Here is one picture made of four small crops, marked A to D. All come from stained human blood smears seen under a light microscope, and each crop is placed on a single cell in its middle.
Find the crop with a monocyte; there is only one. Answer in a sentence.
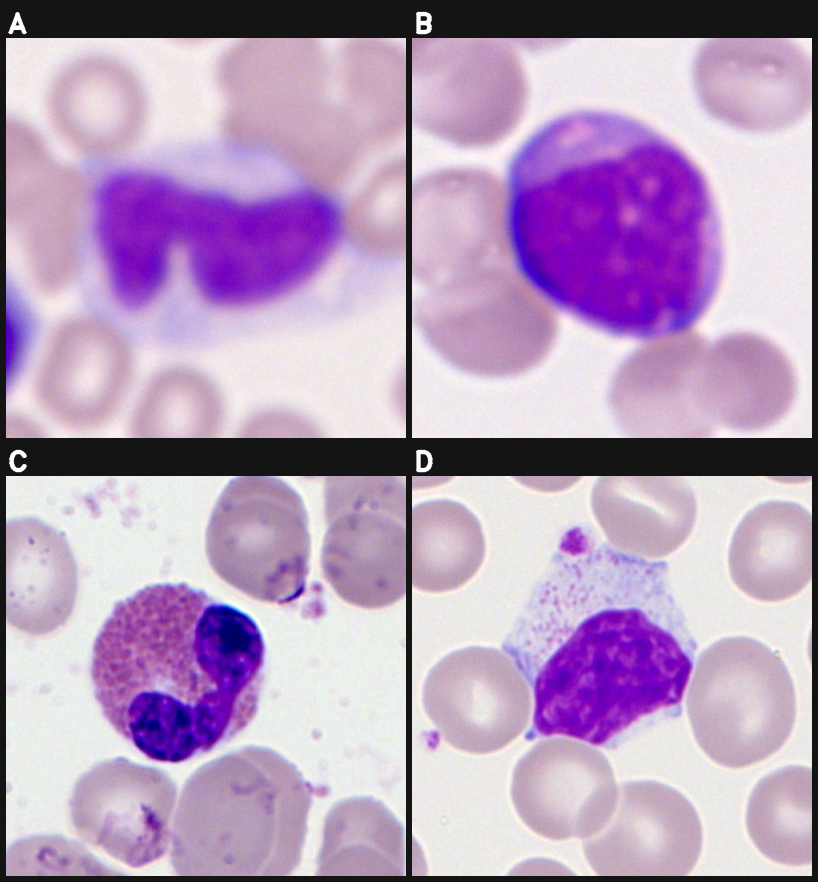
Crop A is the crop featuring a monocyte at its center.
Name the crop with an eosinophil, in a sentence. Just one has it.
Crop C is the one in this set that shows an eosinophil.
